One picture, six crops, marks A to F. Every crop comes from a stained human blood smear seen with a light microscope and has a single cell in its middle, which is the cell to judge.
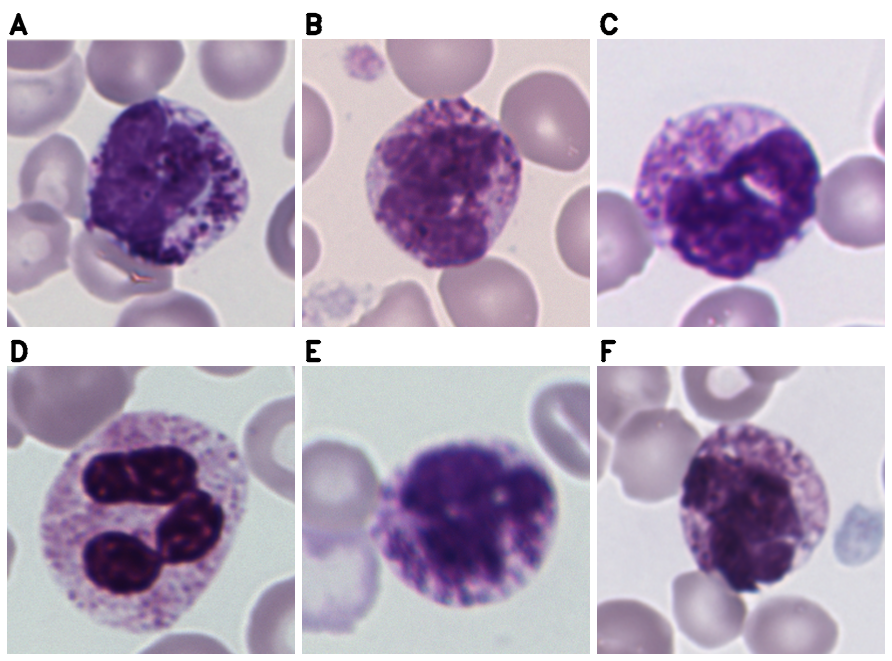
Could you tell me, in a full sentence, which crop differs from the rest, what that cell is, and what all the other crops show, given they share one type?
The crop that differs is crop D, showing a segmented neutrophil; the others show basophils.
